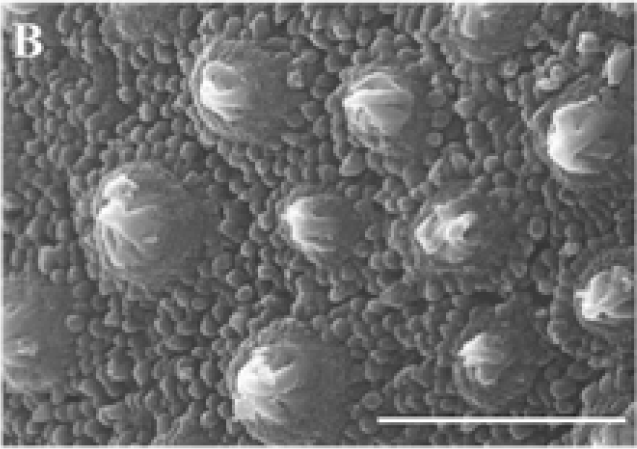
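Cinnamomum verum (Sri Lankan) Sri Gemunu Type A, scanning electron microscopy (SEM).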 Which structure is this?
Spines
